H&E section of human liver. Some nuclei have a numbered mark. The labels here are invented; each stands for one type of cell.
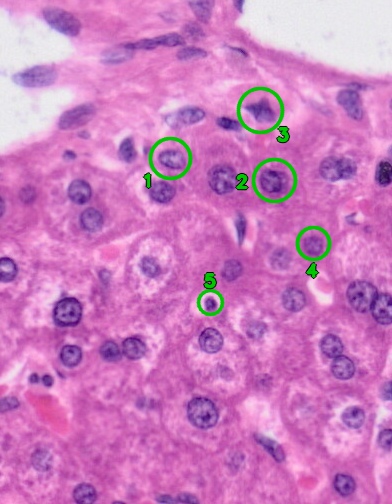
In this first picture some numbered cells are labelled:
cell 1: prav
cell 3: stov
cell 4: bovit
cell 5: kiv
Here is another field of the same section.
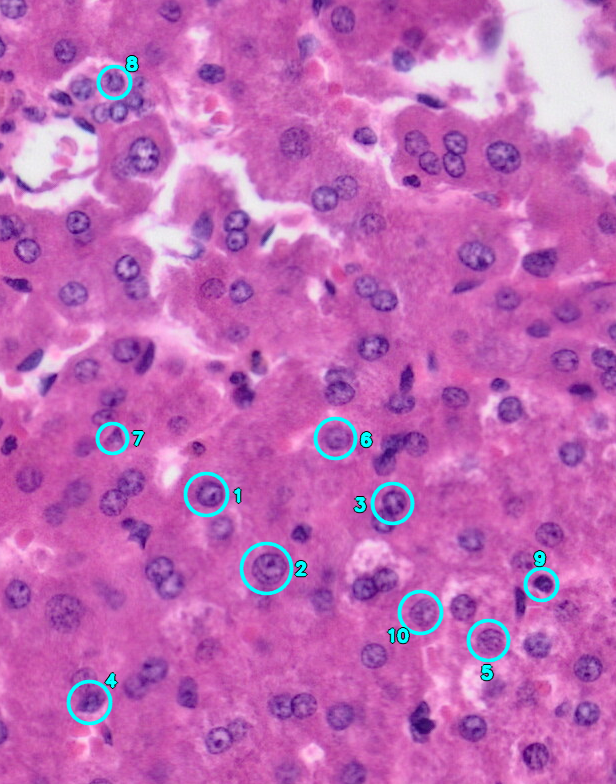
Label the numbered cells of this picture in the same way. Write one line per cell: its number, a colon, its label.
1: bovit
2: bovit
3: bovit
4: stov
5: bovit
6: bovit
7: stov
8: prav
9: kiv
10: bovit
